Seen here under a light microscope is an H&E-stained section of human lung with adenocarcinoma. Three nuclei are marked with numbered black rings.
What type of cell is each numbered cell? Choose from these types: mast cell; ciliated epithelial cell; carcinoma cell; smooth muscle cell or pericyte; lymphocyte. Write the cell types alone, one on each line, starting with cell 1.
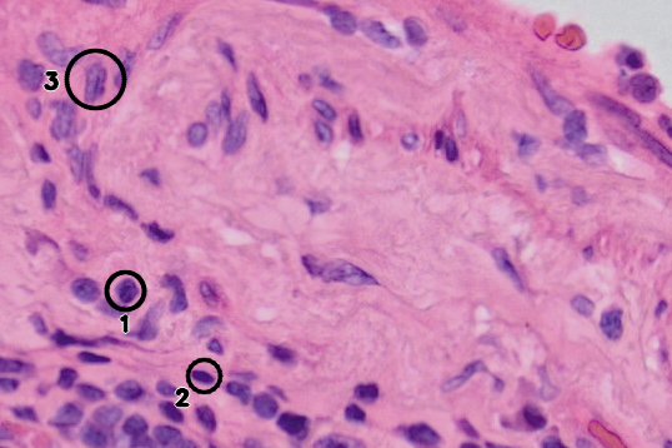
lymphocyte
lymphocyte
smooth muscle cell or pericyte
